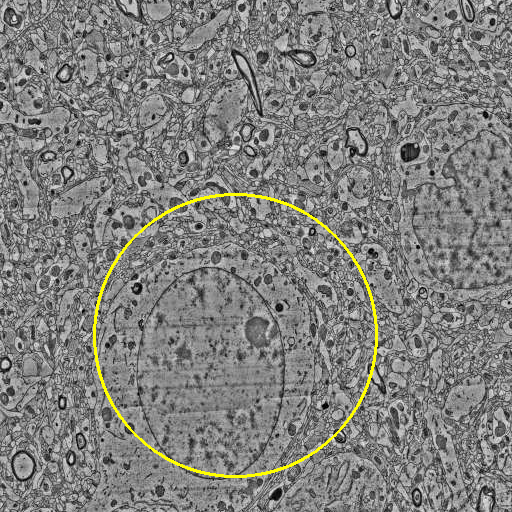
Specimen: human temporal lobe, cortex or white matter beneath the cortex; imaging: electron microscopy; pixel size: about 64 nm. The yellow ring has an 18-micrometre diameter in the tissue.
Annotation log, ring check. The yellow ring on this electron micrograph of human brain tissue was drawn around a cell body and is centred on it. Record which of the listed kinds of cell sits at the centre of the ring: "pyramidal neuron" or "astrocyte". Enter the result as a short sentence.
The cell at the centre of the ring is a pyramidal neuron.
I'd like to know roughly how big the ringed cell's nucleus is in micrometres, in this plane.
Approximately 14 x 10 micrometres in this plane.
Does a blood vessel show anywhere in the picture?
No.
